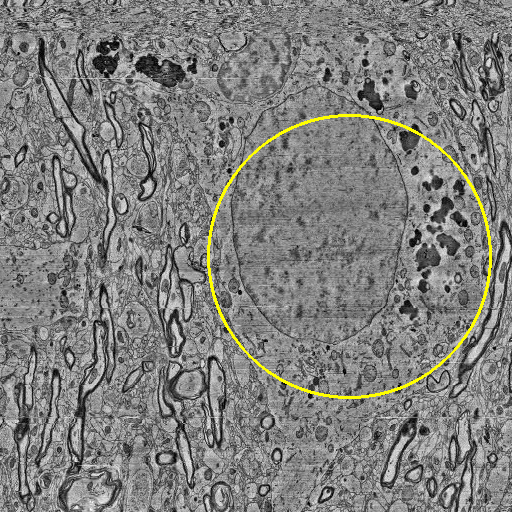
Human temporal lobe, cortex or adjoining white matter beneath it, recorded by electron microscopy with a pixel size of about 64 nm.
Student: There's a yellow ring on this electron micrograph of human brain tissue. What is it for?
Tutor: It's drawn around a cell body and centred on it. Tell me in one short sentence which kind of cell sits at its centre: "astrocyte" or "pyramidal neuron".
The cell at the centre of the ring is a pyramidal neuron.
